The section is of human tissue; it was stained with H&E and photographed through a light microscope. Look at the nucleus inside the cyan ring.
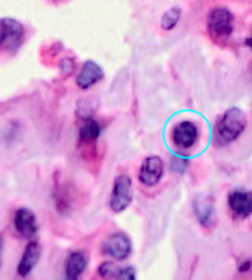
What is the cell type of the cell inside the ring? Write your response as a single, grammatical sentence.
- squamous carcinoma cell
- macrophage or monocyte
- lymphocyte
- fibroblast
In this preparation, the cell inside the ring is a lymphocyte.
